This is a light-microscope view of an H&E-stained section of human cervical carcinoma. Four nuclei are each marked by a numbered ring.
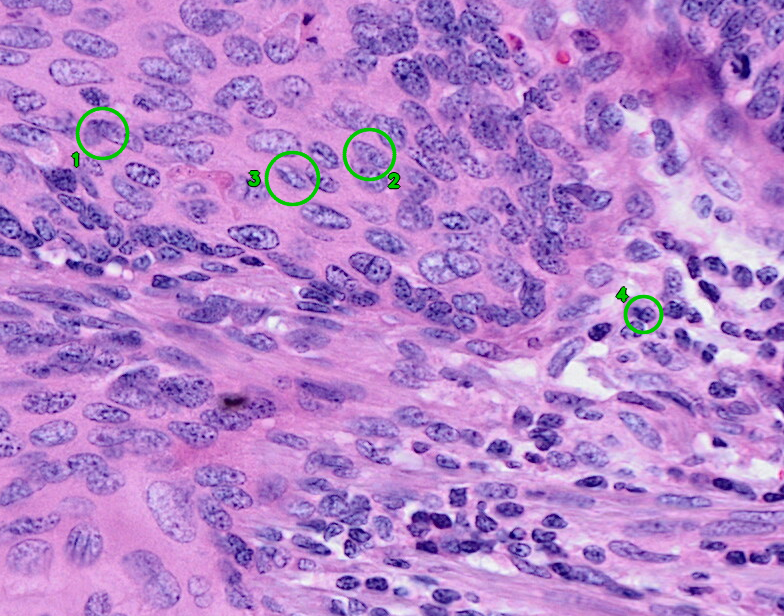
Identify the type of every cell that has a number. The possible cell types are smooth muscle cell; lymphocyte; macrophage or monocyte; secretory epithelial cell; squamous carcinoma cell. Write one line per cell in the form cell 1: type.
cell 1: squamous carcinoma cell
cell 2: squamous carcinoma cell
cell 3: squamous carcinoma cell
cell 4: lymphocyte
